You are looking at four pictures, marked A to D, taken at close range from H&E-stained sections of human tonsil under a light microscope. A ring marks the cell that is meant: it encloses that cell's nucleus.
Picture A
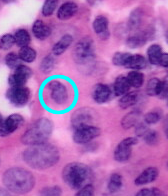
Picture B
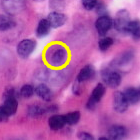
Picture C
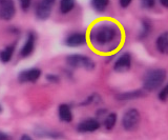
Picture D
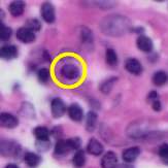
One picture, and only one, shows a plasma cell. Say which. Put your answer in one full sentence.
Picture C shows the plasma cell.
